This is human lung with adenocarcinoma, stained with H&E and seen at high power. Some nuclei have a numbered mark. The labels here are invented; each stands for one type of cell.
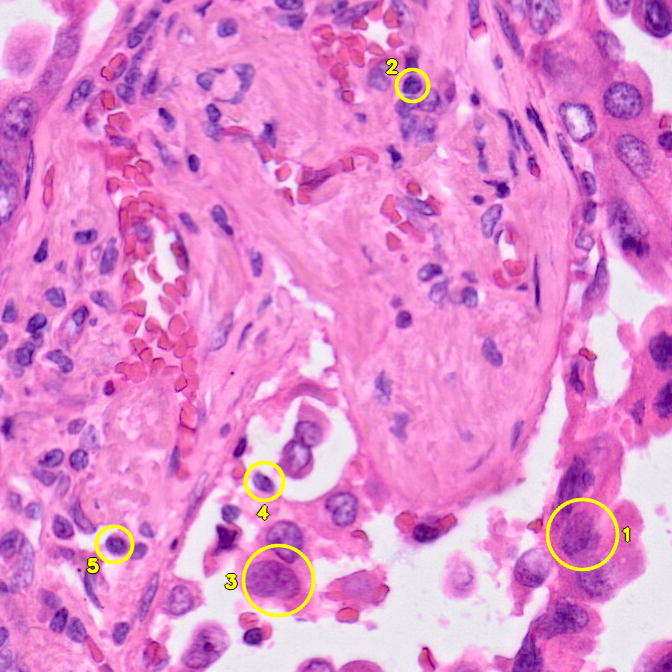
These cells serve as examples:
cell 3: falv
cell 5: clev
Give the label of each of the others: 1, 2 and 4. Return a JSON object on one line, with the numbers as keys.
{"1": "falv", "2": "clev", "4": "clev"}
